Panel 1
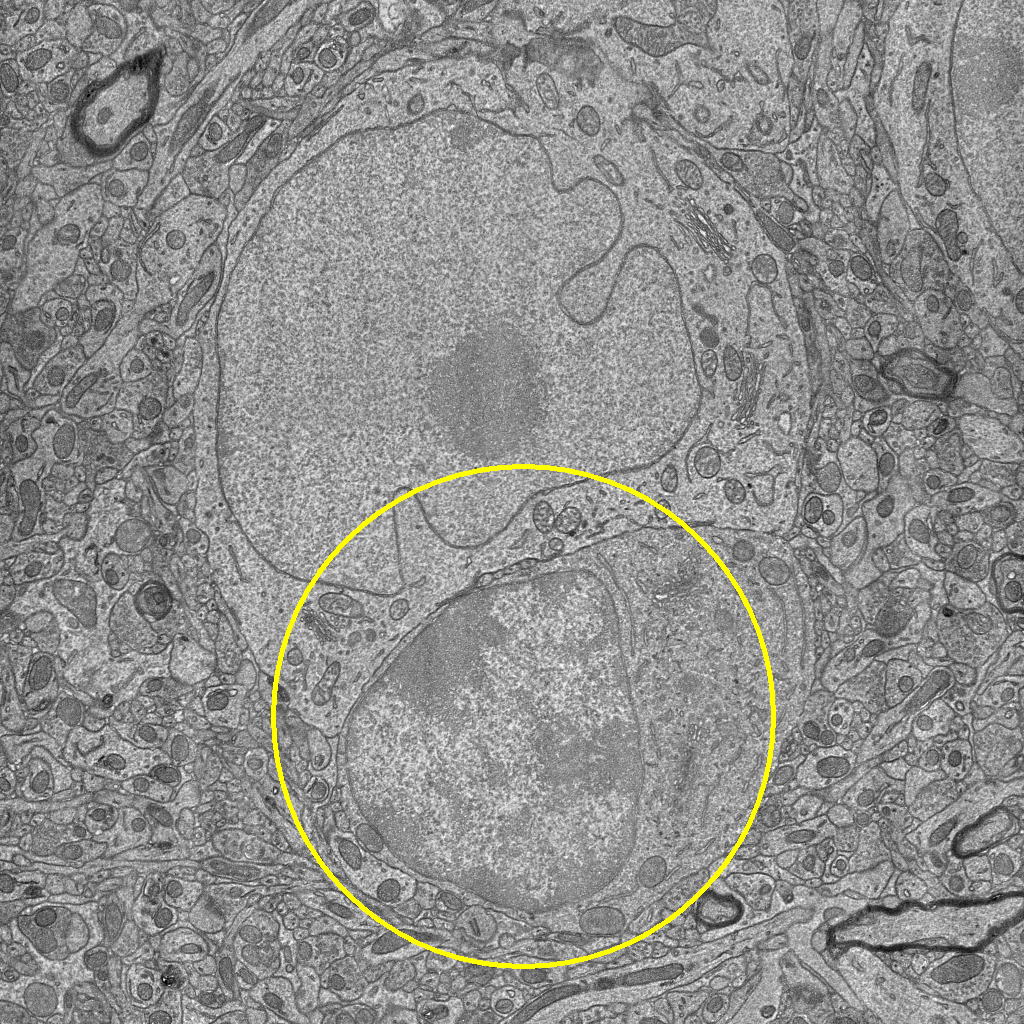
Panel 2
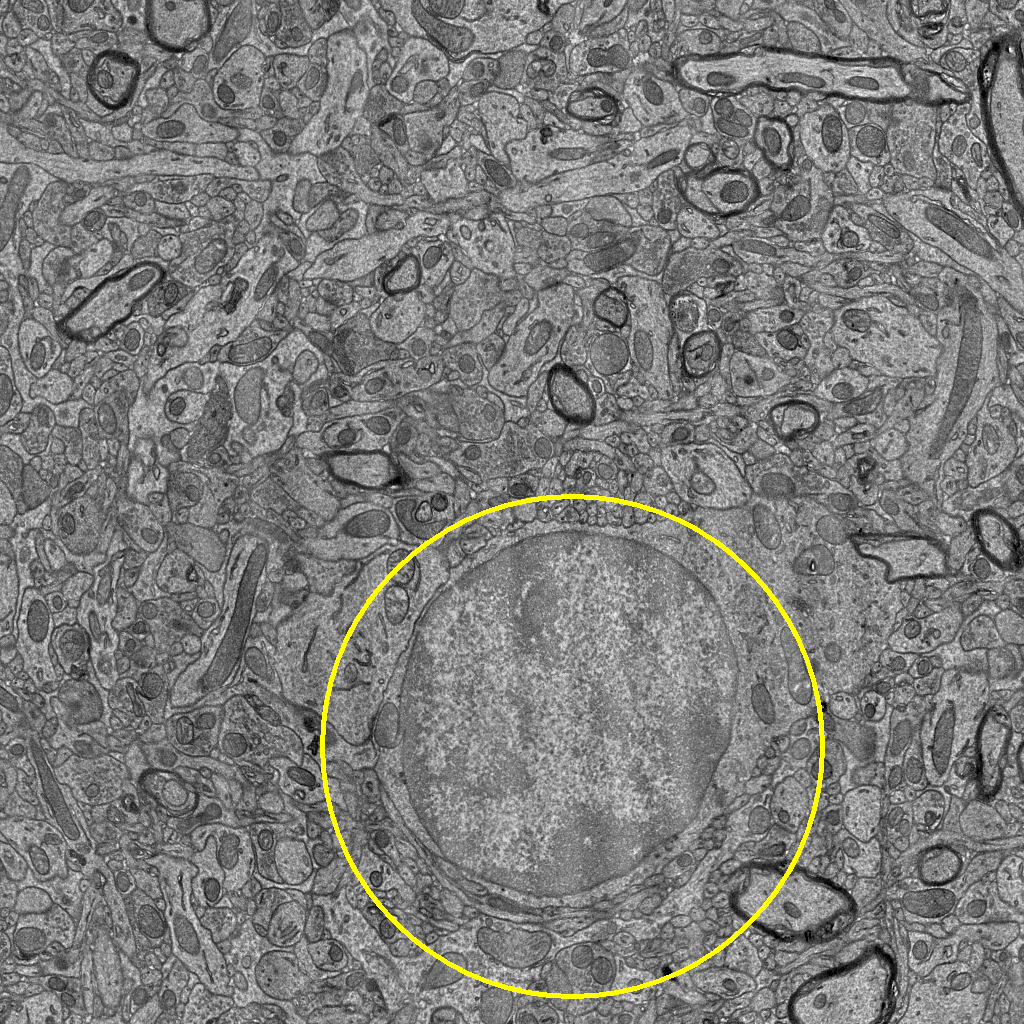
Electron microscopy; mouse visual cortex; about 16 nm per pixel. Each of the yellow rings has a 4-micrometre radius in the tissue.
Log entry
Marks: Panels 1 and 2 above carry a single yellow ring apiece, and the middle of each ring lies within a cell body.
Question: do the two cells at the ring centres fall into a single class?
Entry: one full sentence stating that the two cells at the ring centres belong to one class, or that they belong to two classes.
The two cells at the ring centres in Panels 1 and 2 belong to one class.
